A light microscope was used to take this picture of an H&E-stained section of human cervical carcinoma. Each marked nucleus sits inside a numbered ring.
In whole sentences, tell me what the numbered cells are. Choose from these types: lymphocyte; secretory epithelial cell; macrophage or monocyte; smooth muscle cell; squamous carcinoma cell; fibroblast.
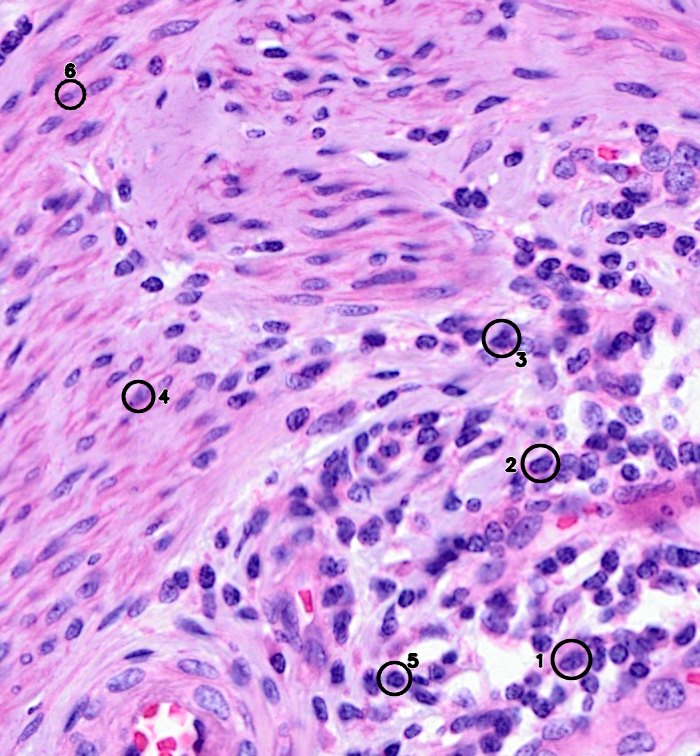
Cell 1 is a lymphocyte, cell 2 is a lymphocyte, cell 3 is a lymphocyte, cell 4 is a smooth muscle cell, cell 5 is a lymphocyte and cell 6 is a smooth muscle cell.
